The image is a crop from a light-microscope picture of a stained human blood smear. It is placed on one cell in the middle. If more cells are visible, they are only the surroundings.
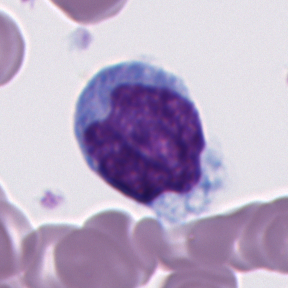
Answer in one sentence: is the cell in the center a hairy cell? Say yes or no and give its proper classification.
No, at the centre of this crop is found a monocyte instead of a hairy cell.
